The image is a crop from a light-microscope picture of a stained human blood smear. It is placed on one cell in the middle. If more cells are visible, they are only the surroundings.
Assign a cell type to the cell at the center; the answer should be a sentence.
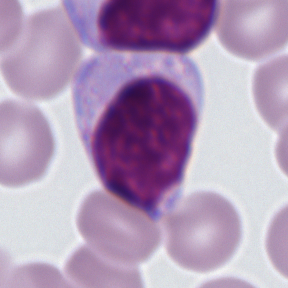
As for the cell in the middle, it is a large granular lymphocyte.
